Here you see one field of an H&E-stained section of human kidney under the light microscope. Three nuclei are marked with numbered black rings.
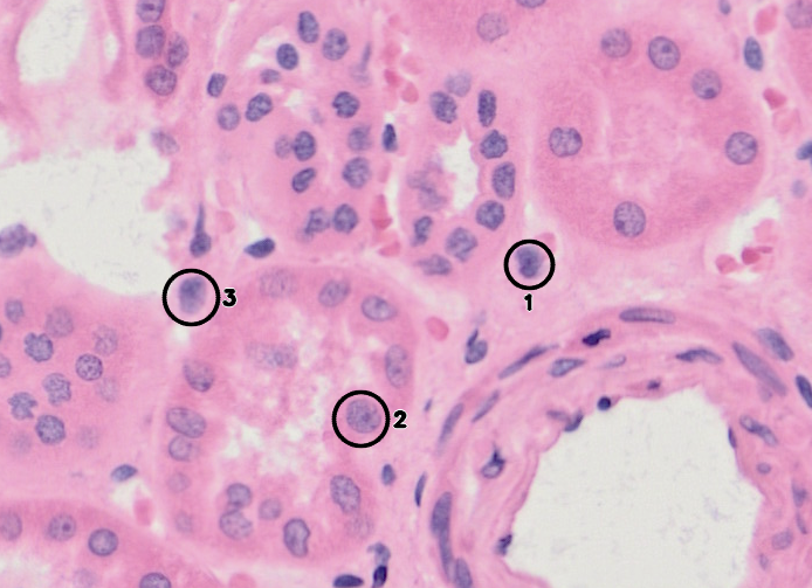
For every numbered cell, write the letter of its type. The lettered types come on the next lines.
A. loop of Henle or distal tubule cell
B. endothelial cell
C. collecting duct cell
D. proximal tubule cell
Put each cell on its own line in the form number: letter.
1: B
2: D
3: B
